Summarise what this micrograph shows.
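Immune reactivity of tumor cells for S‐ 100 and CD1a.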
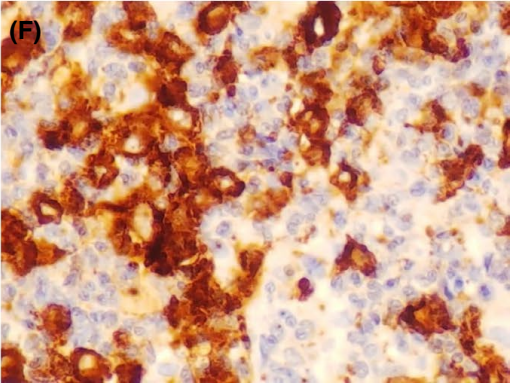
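The stained cells are large, with ample cytoplasm that is brown throughout and often darker along the cell border, giving ring-like outlines; some are irregular with short extensions. They lie in clusters and sheets. Between them are unstained cells with blue oval nuclei and pale cytoplasm, and clear spaces.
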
